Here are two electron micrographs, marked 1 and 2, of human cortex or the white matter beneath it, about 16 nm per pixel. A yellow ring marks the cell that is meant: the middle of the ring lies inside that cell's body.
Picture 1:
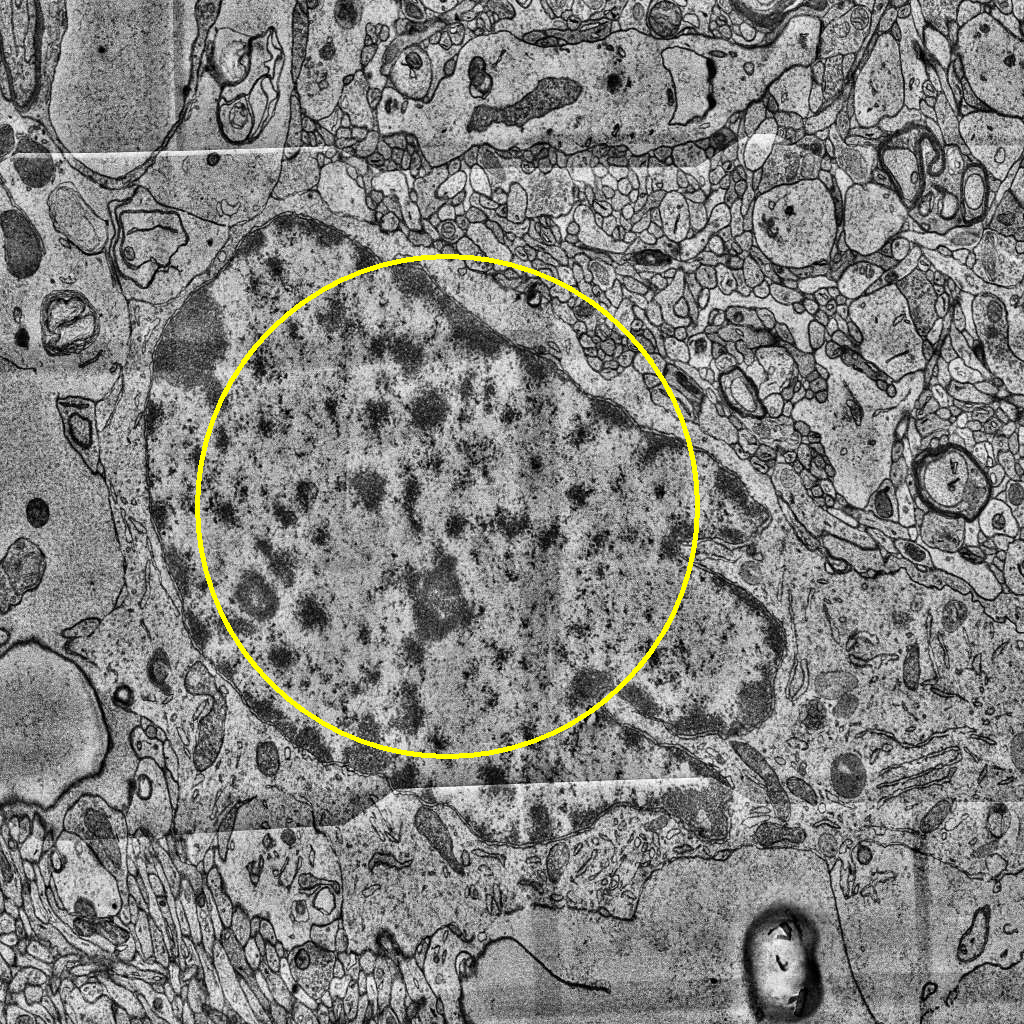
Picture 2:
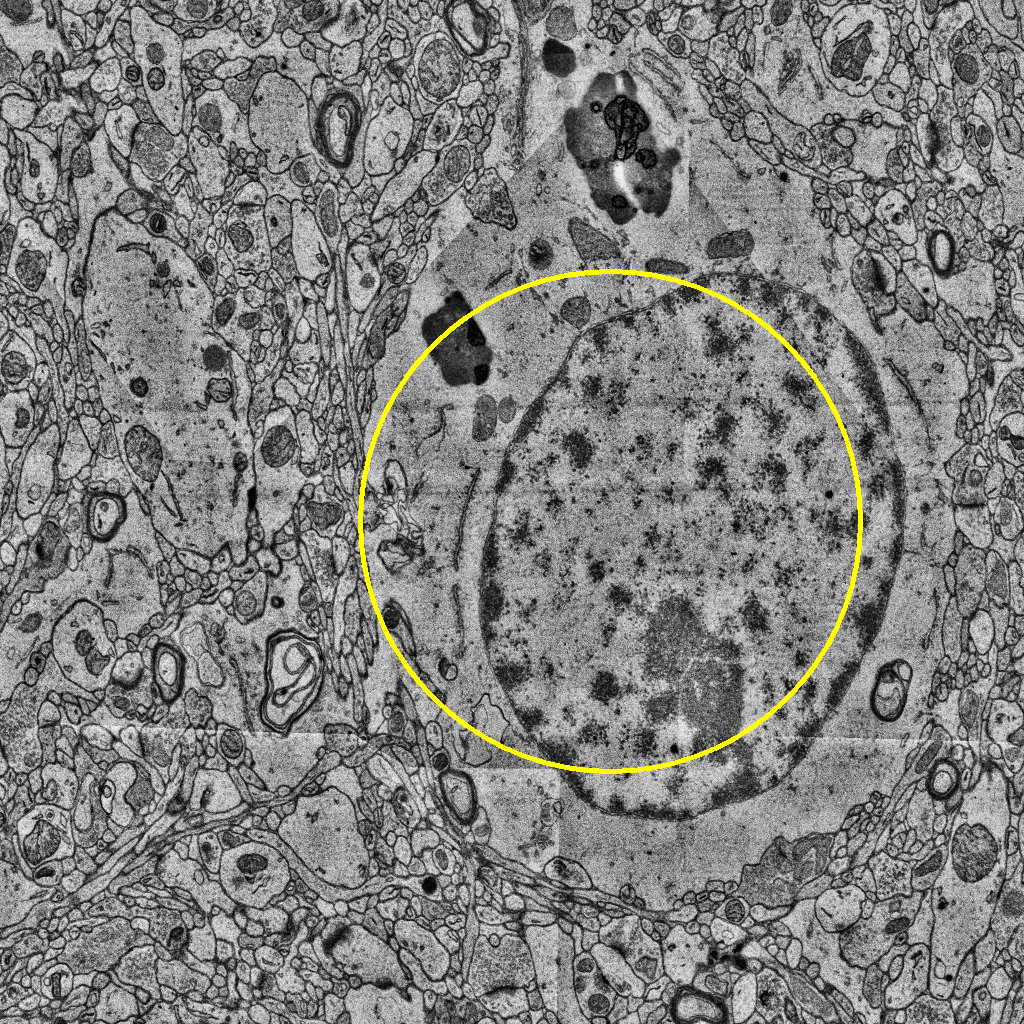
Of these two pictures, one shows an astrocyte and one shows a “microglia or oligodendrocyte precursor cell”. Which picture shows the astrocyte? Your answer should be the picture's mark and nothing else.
2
